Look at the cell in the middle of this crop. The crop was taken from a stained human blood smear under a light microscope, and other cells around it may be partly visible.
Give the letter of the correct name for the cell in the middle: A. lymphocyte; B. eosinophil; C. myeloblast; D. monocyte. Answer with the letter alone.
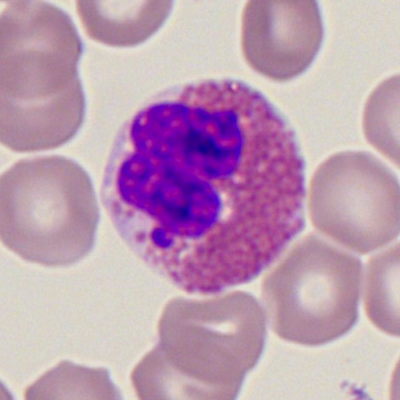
B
